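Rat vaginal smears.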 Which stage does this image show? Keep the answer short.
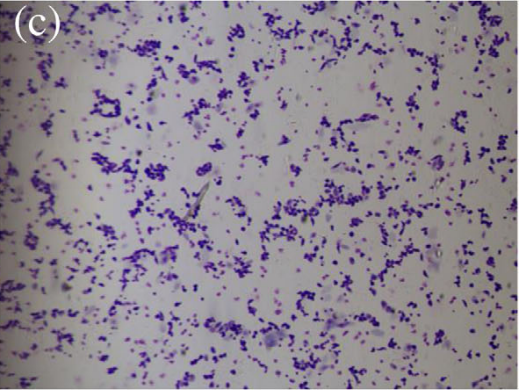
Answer: Metestrus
